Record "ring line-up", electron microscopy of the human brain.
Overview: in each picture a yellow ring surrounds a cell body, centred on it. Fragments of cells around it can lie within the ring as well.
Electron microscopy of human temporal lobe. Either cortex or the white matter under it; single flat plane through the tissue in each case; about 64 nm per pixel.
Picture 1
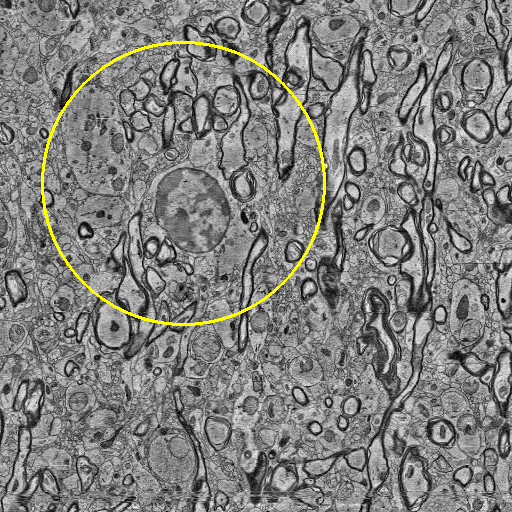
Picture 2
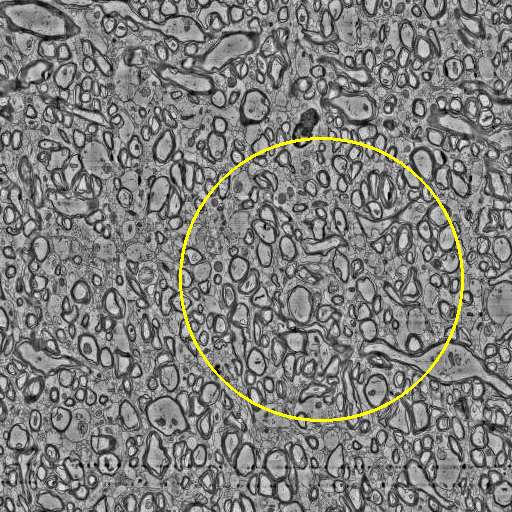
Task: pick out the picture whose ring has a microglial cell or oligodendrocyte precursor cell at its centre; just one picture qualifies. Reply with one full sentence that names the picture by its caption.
Going by the cell at the ring's centre, the right choice is Picture 1.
